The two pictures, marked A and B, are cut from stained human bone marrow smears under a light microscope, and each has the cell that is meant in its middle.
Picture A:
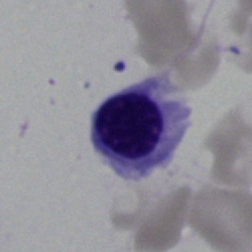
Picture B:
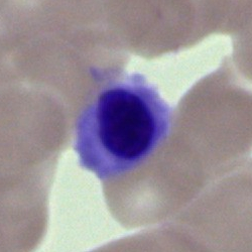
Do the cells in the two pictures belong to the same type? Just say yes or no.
yes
